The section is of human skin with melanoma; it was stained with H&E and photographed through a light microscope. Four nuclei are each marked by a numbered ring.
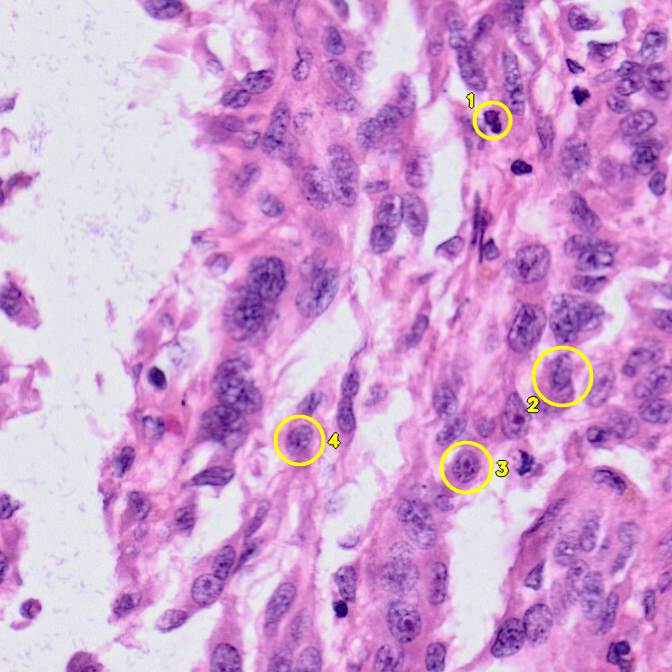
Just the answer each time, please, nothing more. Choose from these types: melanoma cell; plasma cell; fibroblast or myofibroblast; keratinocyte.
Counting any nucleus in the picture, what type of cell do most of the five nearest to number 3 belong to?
melanoma cell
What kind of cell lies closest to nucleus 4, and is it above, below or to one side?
a melanoma cell; above nucleus 4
